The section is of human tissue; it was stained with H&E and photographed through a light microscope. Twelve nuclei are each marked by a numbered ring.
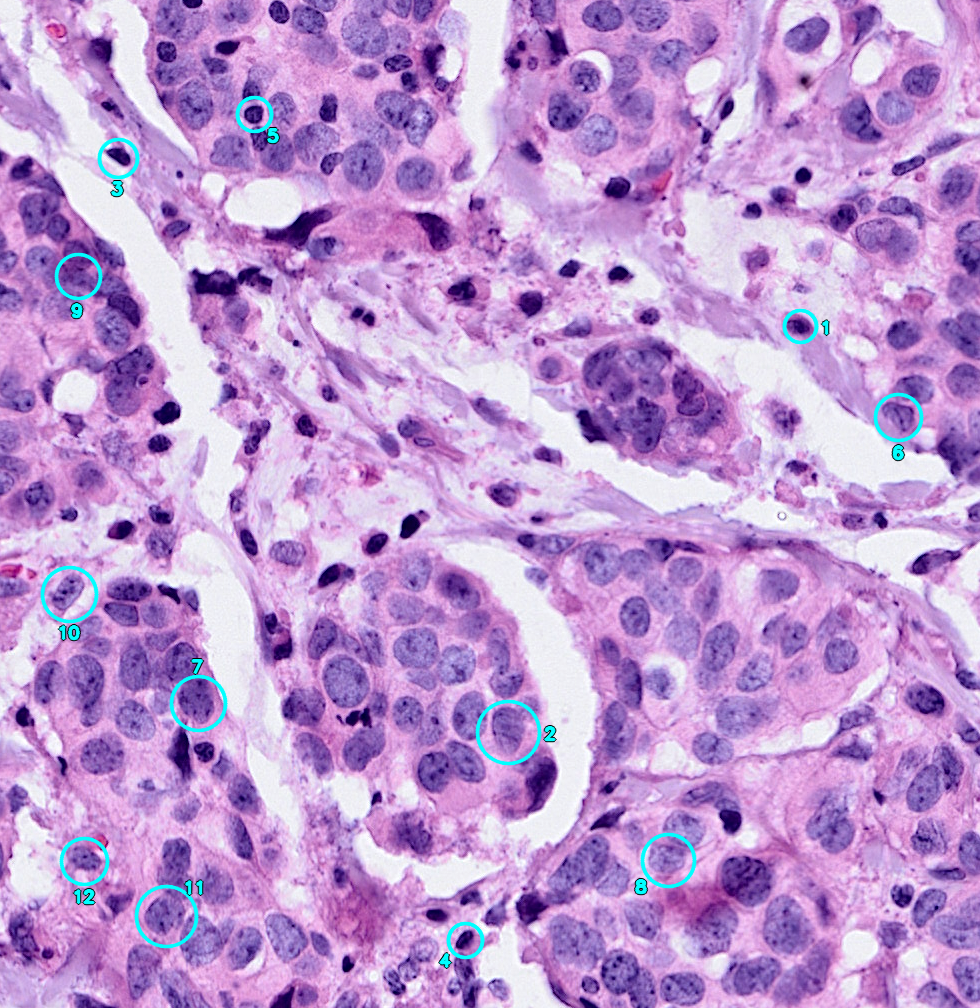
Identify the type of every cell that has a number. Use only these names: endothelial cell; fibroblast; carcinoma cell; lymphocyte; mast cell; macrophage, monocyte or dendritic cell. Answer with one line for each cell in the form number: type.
1: mast cell
2: carcinoma cell
3: lymphocyte
4: lymphocyte
5: lymphocyte
6: carcinoma cell
7: carcinoma cell
8: carcinoma cell
9: carcinoma cell
10: macrophage, monocyte or dendritic cell
11: carcinoma cell
12: endothelial cell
